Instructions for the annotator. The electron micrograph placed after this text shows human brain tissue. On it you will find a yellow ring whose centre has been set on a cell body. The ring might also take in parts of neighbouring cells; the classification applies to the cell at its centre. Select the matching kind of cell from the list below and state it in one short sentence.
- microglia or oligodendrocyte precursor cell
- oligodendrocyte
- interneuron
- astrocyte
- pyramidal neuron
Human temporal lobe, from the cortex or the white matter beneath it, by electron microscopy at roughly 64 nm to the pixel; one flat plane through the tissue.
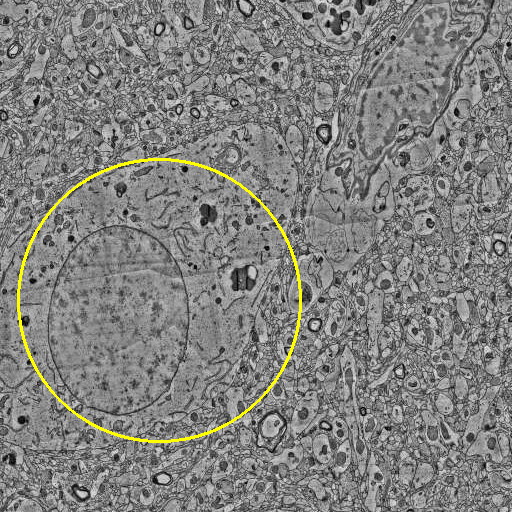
The ring is drawn on the cell body of a pyramidal neuron.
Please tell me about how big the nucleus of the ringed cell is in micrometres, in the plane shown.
About 12 micrometres by about 9 micrometres in this plane.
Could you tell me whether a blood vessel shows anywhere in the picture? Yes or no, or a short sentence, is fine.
Yes, there is a blood vessel in the image.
